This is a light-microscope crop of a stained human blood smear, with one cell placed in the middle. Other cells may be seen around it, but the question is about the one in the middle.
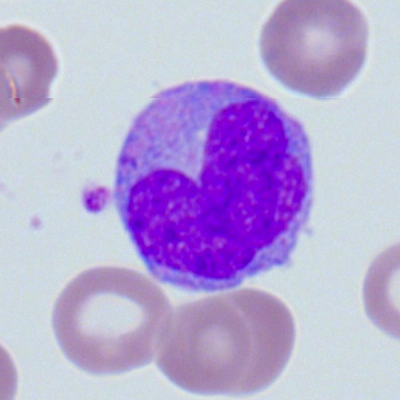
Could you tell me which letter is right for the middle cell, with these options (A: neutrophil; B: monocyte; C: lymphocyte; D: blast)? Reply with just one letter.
B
